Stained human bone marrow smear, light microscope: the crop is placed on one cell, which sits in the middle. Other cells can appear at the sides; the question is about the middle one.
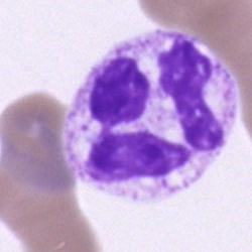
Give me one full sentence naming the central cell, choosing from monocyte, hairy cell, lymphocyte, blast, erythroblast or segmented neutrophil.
The cell the crop is centered on is a segmented neutrophil.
